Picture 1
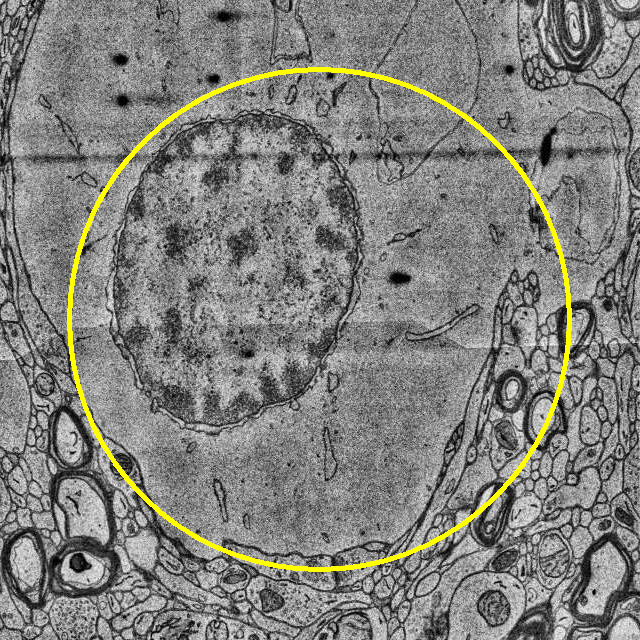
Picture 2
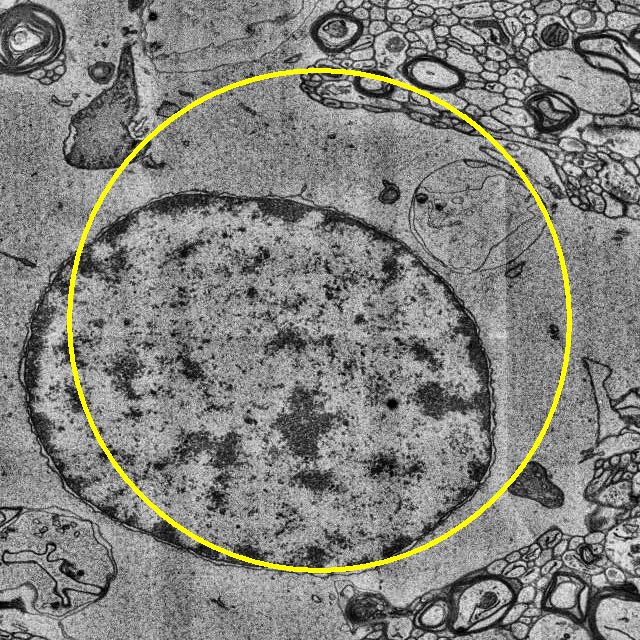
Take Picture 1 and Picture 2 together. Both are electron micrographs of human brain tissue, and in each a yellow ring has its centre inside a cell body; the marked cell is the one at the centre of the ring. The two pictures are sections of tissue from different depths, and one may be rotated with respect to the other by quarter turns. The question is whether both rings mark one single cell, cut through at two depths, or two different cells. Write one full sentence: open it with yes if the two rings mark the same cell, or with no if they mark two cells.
Yes, the same individual cell is enclosed by both rings.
